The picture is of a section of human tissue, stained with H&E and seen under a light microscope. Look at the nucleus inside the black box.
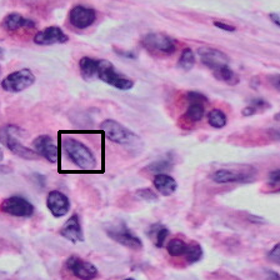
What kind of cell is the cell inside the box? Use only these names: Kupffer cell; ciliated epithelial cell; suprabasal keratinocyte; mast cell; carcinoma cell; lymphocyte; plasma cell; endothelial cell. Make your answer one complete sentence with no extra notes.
Among the cells in this section, the cell inside the box is an endothelial cell.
